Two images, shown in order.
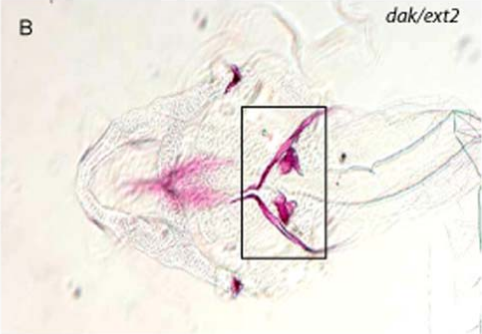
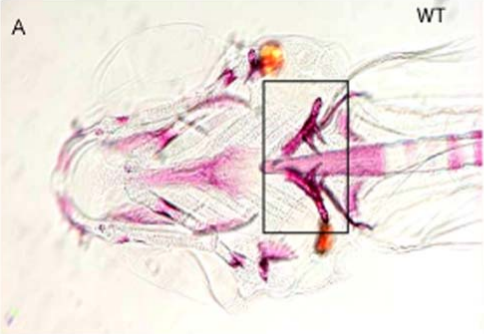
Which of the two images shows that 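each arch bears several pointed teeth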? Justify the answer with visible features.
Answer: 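The second image. First image: each boxed arch carries only one short, stubby red element. Second image: each boxed arch carries several slender pointed red projections.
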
